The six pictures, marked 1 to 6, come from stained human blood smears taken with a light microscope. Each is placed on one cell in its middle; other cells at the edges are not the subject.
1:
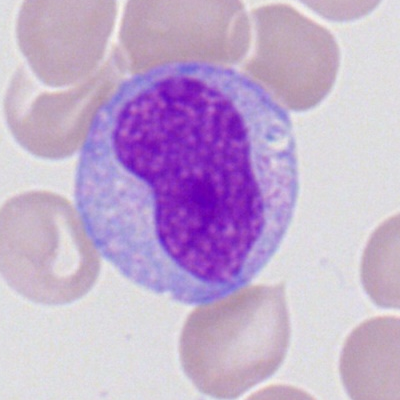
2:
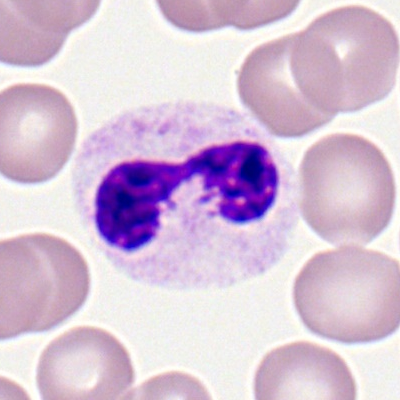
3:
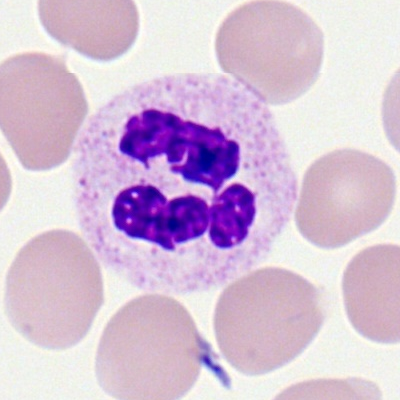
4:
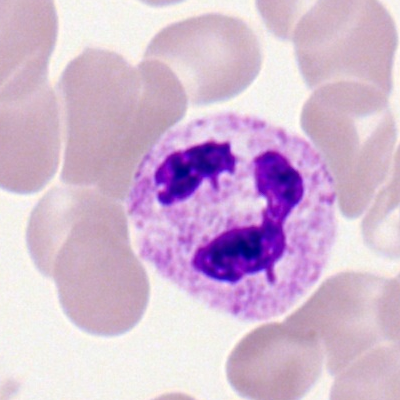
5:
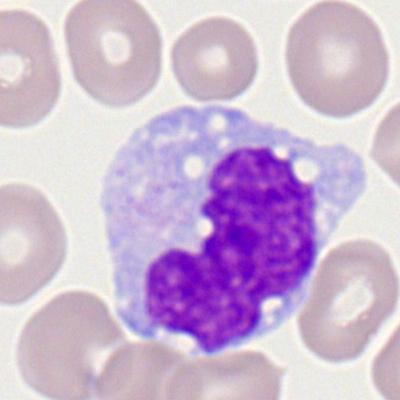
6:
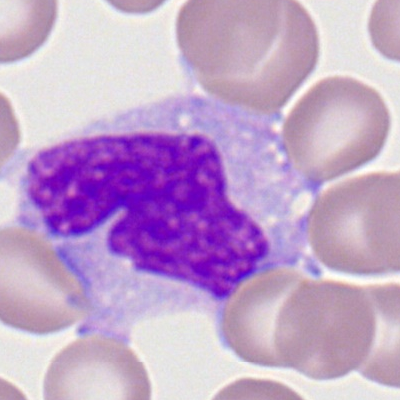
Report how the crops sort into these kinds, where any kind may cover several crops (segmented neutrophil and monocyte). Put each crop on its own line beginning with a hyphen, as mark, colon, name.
- 1: monocyte
- 2: segmented neutrophil
- 3: segmented neutrophil
- 4: segmented neutrophil
- 5: monocyte
- 6: monocyte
